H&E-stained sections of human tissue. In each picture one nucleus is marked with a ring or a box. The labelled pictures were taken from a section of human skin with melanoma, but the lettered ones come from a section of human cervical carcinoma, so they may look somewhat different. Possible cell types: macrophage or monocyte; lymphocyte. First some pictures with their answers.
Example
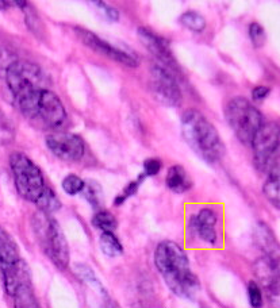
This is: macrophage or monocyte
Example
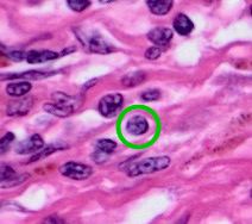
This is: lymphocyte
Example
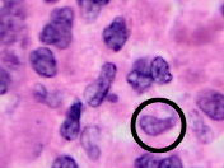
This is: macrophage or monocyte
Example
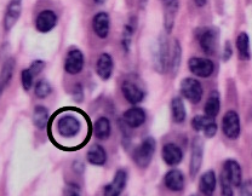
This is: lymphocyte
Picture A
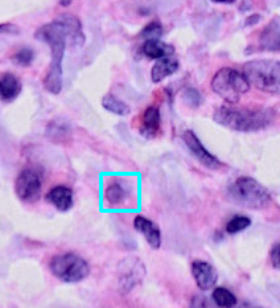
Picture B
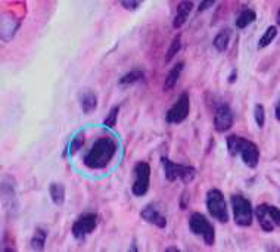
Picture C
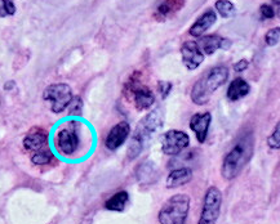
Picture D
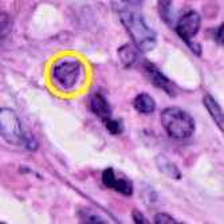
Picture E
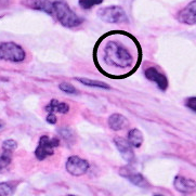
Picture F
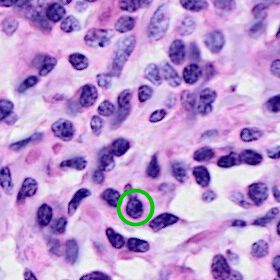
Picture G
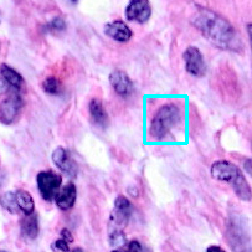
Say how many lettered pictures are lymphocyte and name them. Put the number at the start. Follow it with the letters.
Count: 3 (B, C, F)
